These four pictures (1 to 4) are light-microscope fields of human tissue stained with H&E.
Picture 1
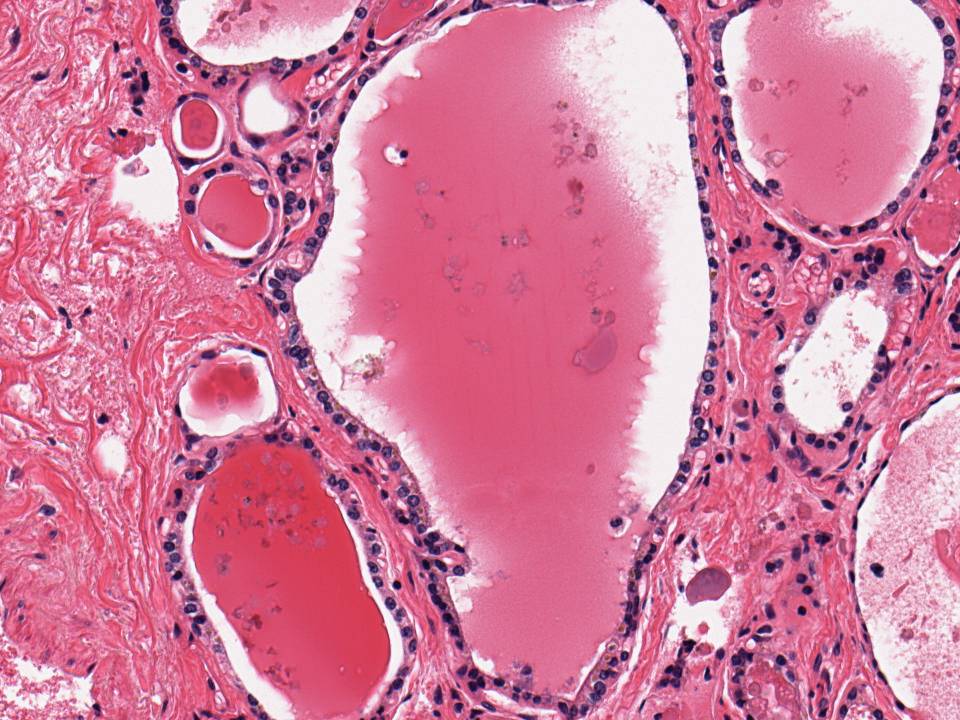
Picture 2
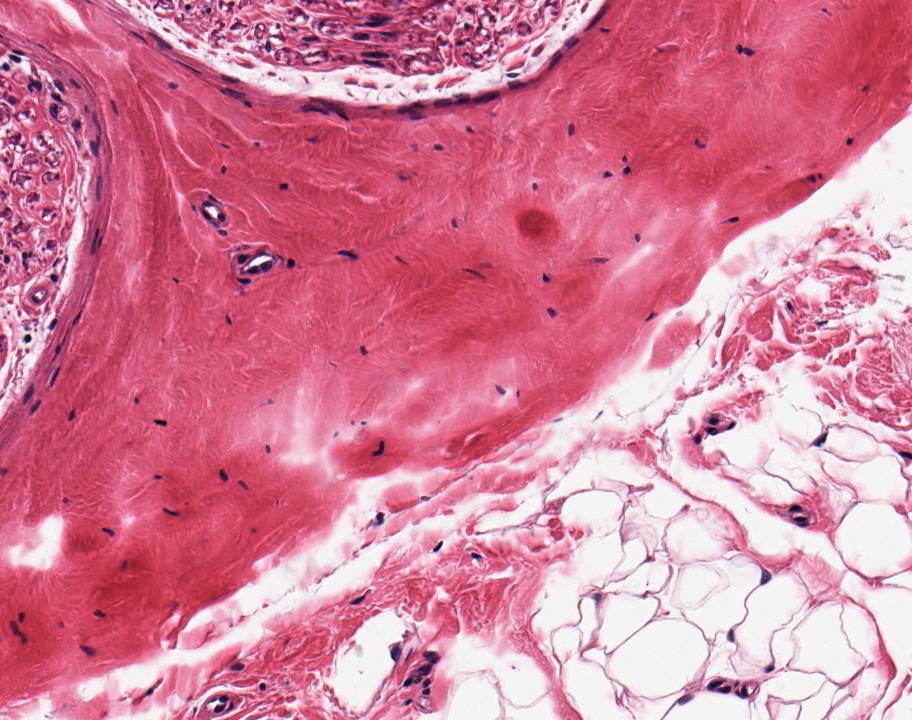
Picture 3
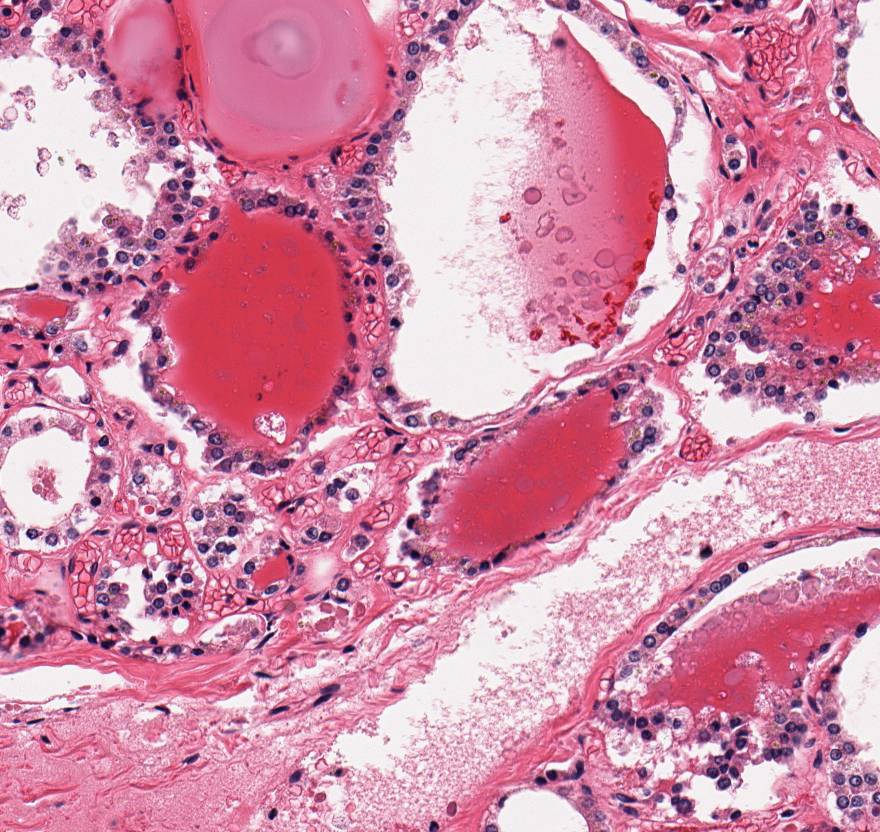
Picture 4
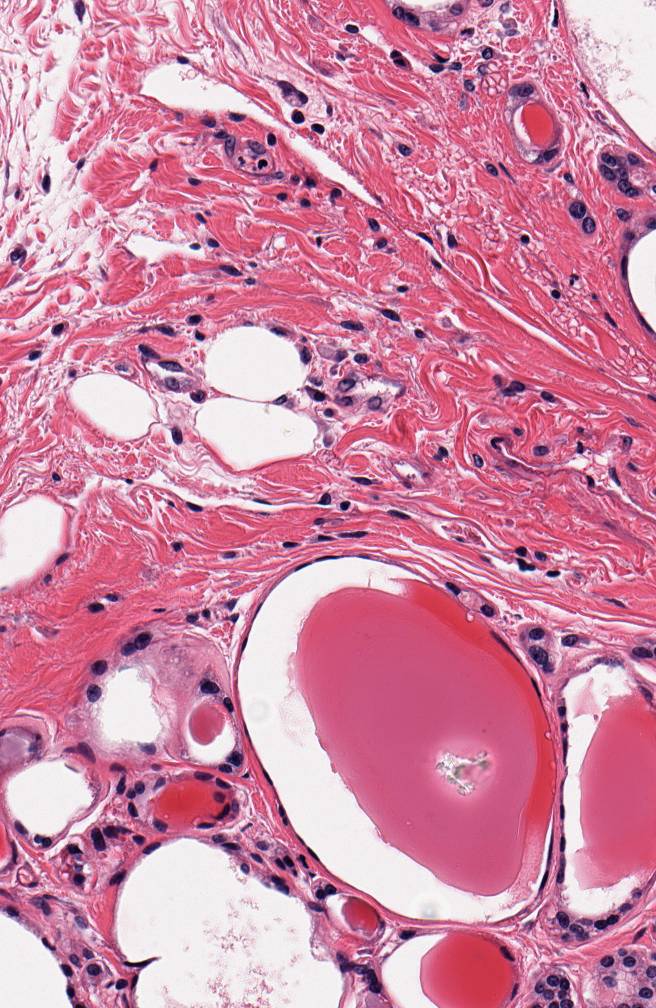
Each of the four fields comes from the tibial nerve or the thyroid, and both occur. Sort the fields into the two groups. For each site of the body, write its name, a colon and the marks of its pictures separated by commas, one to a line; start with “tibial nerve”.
tibial nerve: 2
thyroid: 1, 3, 4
